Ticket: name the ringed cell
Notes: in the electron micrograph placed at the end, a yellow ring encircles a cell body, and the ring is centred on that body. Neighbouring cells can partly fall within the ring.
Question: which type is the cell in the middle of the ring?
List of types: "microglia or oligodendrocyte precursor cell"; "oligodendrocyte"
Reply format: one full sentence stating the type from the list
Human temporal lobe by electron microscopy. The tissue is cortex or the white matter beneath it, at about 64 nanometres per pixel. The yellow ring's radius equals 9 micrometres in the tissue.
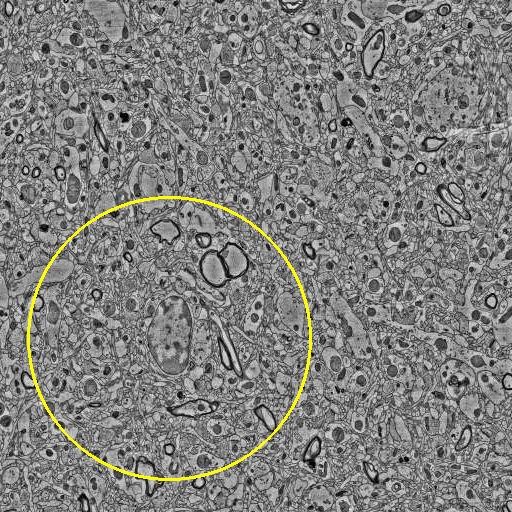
The cell sitting at the centre of the yellow ring is a microglial cell or oligodendrocyte precursor cell.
